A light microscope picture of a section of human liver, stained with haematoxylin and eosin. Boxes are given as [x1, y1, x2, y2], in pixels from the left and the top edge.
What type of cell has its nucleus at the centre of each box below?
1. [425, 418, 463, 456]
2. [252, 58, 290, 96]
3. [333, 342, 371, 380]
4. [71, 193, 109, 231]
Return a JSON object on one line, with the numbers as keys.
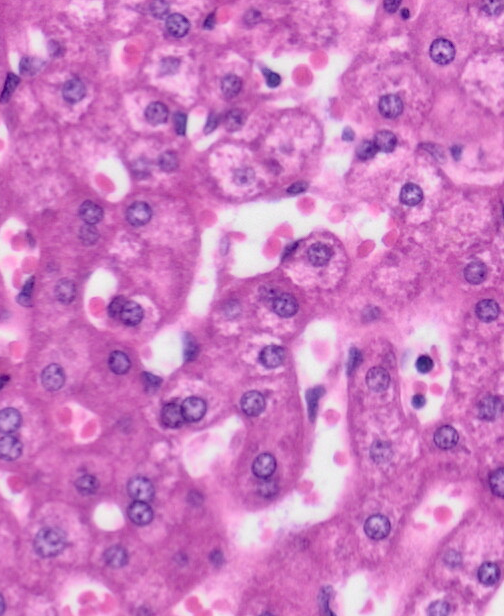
{"1": "hepatocyte", "2": "lymphocyte", "3": "fibroblast or stellate cell", "4": "hepatocyte"}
